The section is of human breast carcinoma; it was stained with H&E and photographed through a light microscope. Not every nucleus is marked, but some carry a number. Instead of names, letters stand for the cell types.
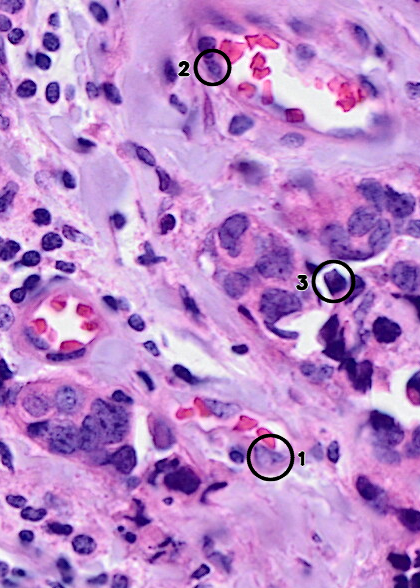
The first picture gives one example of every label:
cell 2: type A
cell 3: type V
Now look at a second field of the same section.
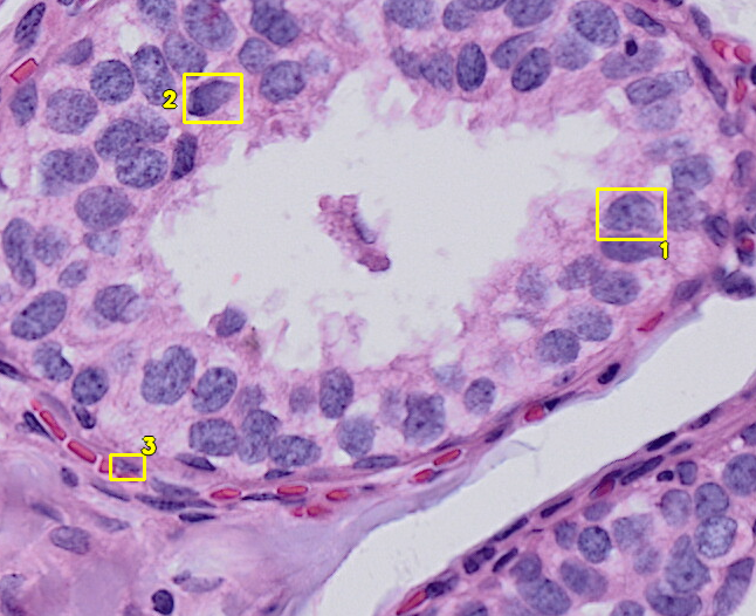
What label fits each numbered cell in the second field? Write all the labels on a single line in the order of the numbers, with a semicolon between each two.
type V; type V; type A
